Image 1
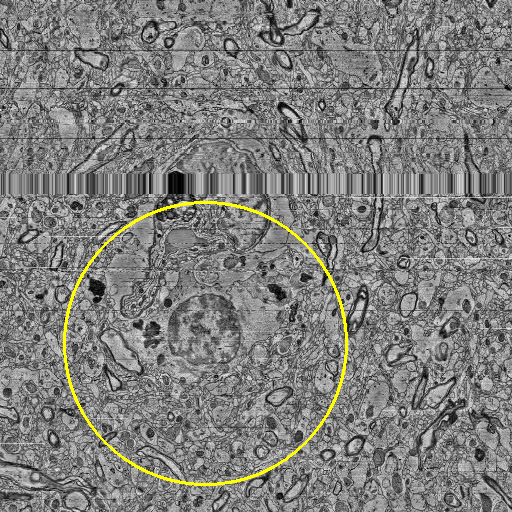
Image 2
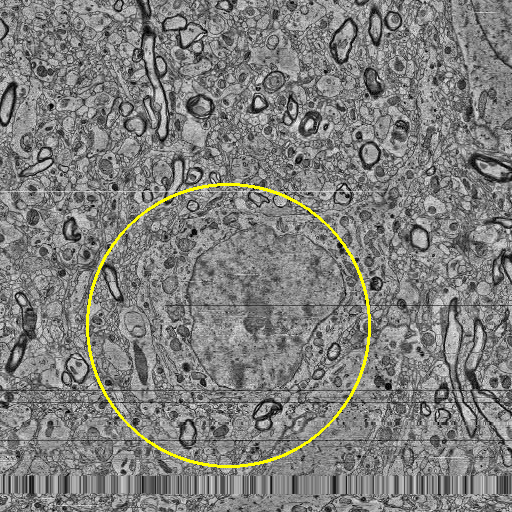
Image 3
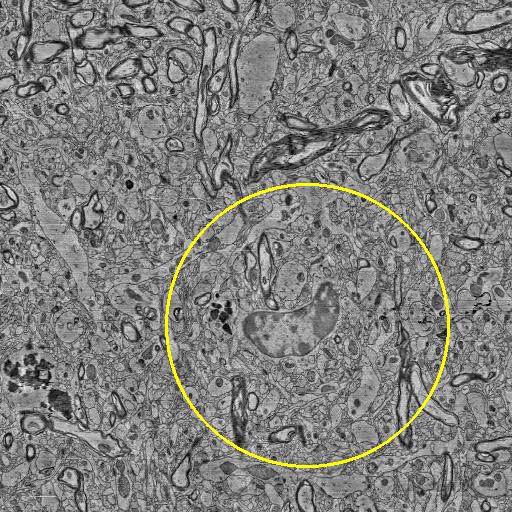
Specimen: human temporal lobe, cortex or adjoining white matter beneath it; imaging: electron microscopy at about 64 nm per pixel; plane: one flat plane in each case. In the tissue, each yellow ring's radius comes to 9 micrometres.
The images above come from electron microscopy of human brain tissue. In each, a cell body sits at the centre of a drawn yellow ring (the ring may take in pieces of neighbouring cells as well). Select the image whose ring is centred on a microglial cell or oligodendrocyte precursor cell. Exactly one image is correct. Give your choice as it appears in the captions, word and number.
Image 3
